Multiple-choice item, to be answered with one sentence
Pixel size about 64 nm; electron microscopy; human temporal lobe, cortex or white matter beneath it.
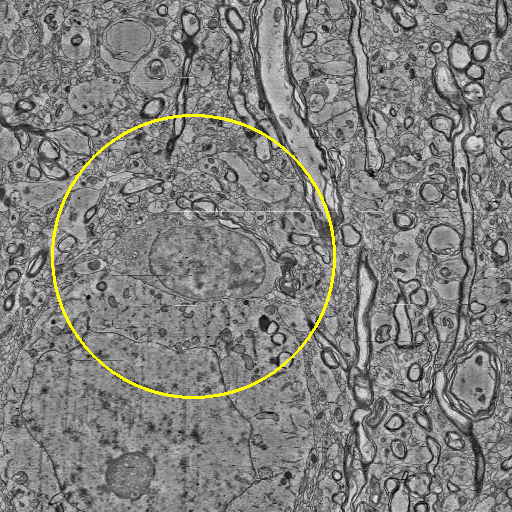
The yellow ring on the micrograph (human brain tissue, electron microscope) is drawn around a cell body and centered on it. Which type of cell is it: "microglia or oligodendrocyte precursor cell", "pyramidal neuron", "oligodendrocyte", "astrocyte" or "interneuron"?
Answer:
The ring is centered on an oligodendrocyte.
